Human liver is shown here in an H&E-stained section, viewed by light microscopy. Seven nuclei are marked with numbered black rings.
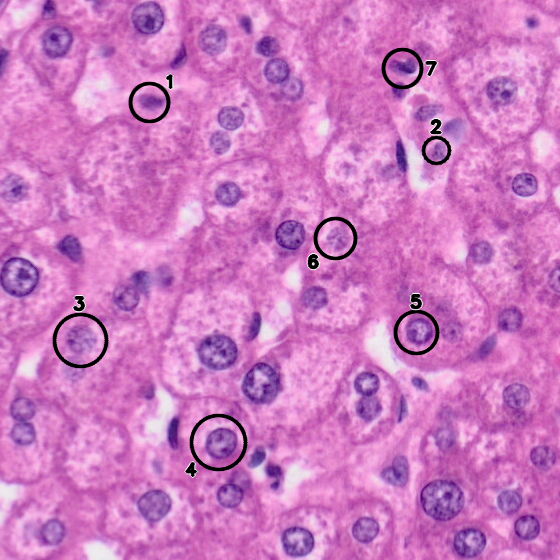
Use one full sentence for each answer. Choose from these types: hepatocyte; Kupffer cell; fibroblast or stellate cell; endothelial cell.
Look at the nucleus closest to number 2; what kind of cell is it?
The nearest nucleus to number 2 belongs to an endothelial cell.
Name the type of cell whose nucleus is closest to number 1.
It is a fibroblast or stellate cell whose nucleus is nearest to number 1.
